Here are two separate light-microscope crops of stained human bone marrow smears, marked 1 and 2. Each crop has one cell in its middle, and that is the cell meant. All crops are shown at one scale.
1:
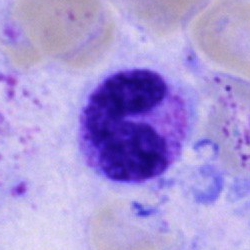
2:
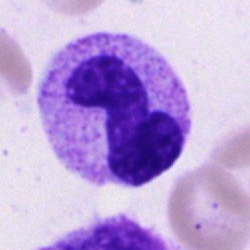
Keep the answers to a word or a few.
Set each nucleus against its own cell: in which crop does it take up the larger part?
1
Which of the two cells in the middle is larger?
2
